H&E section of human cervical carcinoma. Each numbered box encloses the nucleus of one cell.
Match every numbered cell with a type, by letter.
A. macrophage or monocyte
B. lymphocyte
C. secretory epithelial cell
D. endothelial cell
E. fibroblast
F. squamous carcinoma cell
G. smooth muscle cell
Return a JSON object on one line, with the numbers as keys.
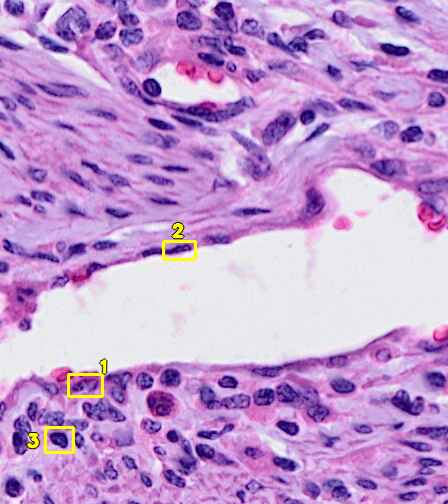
{"1": "D", "2": "D", "3": "B"}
